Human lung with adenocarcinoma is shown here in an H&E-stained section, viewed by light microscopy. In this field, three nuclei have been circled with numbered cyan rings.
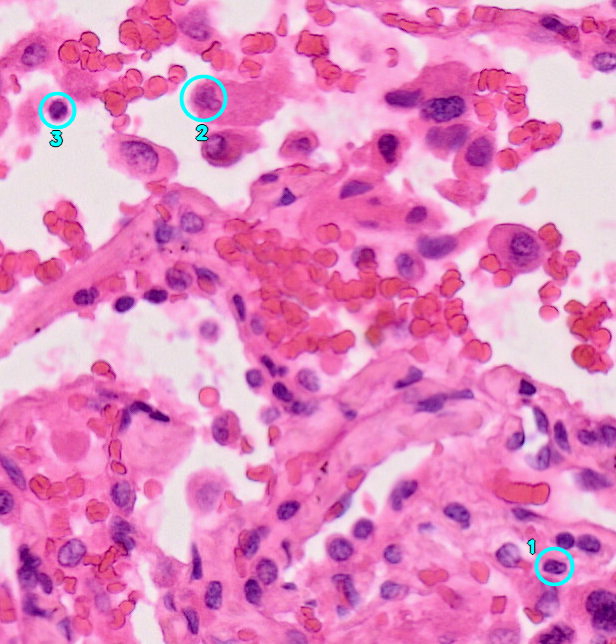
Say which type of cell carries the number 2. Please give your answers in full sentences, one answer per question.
Here, the cell given the number 2 is a macrophage or monocyte.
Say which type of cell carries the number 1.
Cell 1, as marked in the section, is a lymphocyte.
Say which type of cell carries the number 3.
Looking at the numbered marks, cell 3 is a lymphocyte.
